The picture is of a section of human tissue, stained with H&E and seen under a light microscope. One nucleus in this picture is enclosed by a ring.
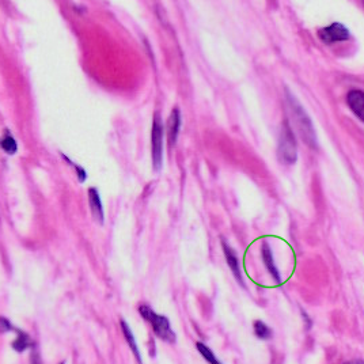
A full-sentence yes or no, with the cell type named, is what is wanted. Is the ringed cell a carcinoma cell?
No, the ringed cell is reported as a fibroblast rather than a carcinoma cell.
